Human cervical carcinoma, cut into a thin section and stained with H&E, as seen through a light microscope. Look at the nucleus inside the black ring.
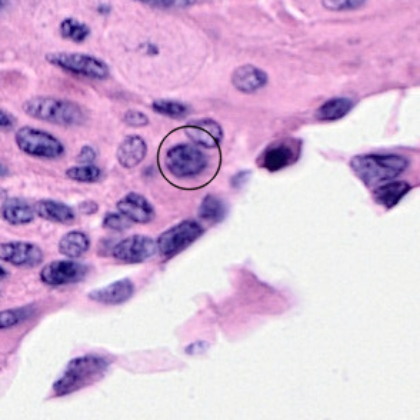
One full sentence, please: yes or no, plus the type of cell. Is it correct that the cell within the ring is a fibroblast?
No, as classified here, the cell within the ring is a squamous carcinoma cell and not a fibroblast.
